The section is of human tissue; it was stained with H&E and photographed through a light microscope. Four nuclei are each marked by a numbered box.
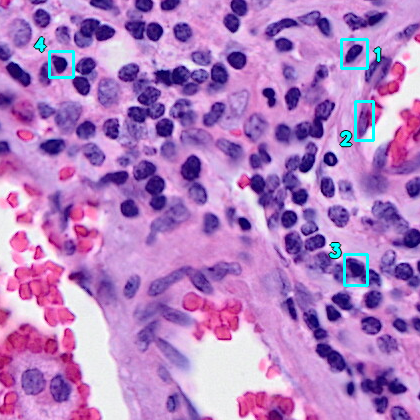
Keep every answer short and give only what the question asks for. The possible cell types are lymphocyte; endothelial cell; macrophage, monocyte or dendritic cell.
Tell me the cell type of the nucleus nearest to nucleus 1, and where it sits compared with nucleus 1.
an endothelial cell below and to the right of nucleus 1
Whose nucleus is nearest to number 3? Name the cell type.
lymphocyte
